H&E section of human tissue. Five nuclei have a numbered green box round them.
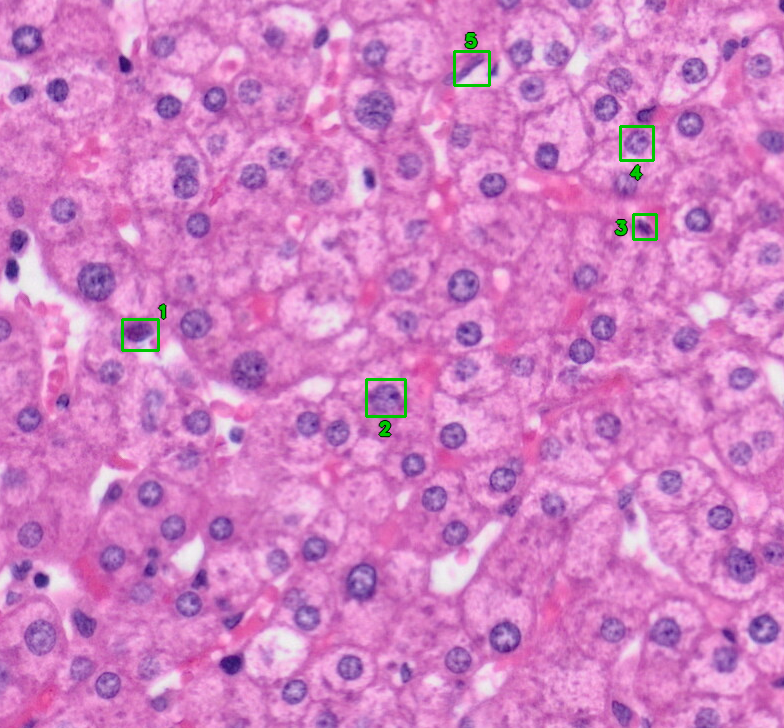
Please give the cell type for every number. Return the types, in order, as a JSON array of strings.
["endothelial cell", "hepatocyte", "endothelial cell", "hepatocyte", "Kupffer cell"]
